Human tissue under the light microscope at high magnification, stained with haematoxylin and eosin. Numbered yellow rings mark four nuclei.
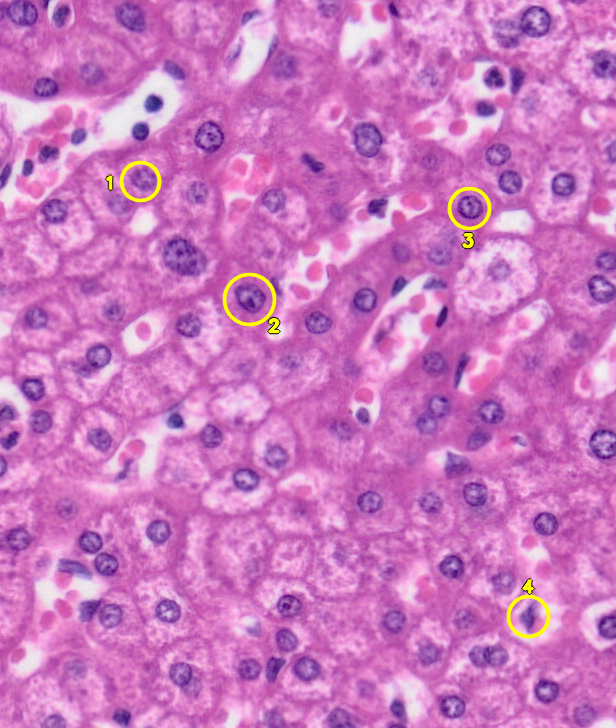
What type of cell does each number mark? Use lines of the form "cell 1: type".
cell 1: hepatocyte
cell 2: hepatocyte
cell 3: hepatocyte
cell 4: Kupffer cell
